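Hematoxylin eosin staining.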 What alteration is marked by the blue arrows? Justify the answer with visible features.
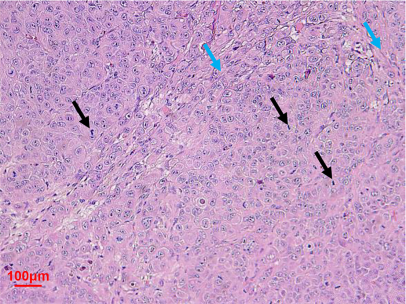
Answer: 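Strands of elongated spindle-shaped nuclei run between the groups of larger pale cells. The strands form pale pink streaks crossing the tissue.
Answer: fibrous hyperplasia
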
